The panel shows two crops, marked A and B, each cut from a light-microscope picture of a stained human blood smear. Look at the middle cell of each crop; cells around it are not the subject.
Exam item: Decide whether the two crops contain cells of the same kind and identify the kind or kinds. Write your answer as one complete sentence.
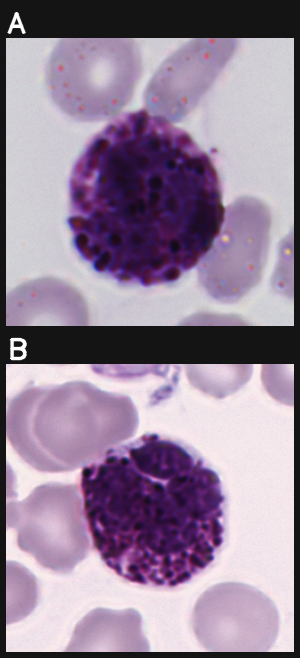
Yes, both crops depict basophils at the centre.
